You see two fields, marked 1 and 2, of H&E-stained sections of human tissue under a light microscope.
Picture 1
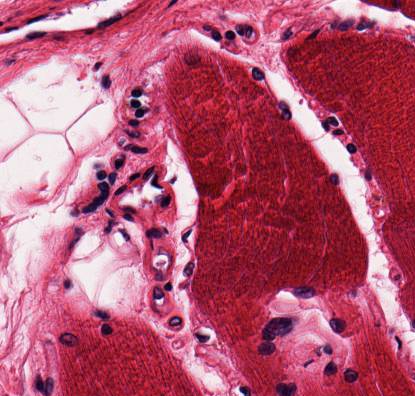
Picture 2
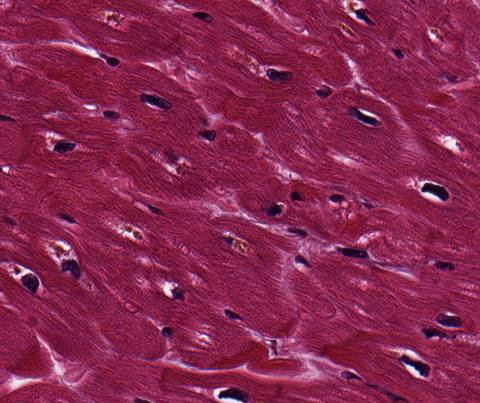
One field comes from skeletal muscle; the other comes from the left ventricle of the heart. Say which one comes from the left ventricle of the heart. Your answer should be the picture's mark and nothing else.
2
